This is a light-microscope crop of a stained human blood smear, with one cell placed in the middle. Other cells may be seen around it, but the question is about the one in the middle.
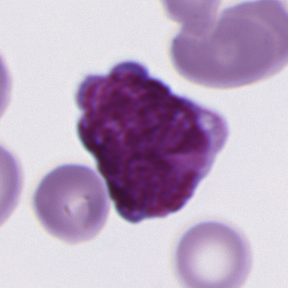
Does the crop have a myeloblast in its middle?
yes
